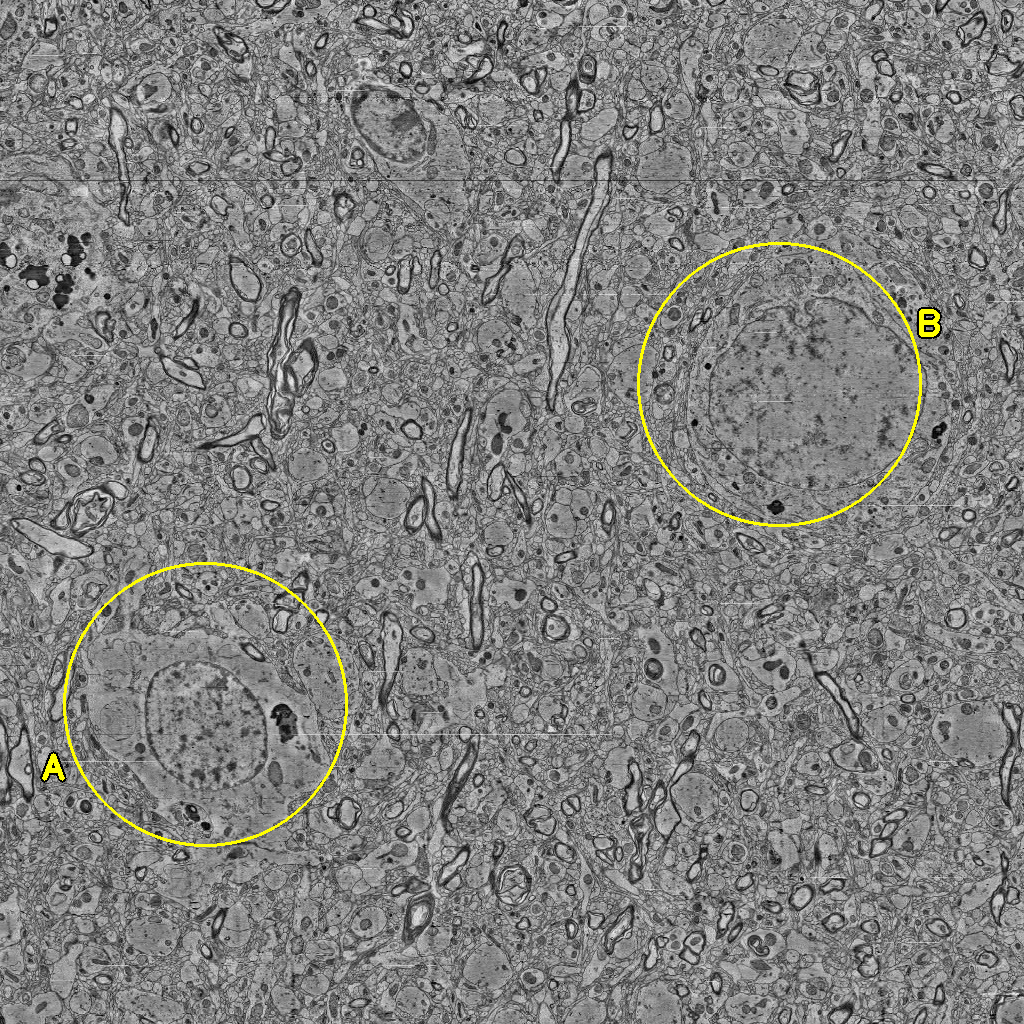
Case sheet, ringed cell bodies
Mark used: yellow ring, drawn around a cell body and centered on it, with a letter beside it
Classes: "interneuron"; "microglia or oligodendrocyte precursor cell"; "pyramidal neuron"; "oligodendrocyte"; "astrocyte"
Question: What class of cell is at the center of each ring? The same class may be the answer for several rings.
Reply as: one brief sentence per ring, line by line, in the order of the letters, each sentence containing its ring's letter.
Ring A has an astrocyte at its center.
Ring B has a pyramidal neuron at its center.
